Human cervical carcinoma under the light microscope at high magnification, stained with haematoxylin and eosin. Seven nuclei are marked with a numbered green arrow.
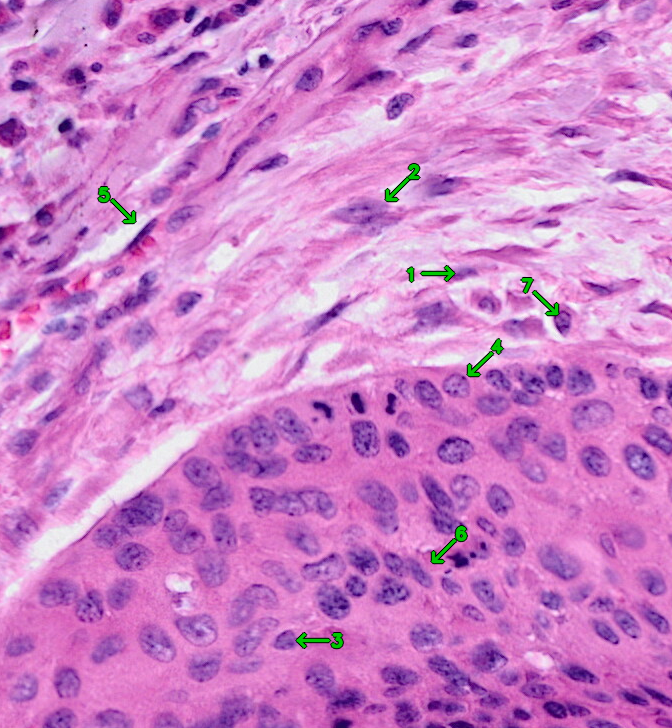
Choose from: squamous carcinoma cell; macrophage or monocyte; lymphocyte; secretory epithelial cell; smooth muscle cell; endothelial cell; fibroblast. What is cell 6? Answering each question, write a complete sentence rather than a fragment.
The marked cell with the number 6 is recognised as a squamous carcinoma cell.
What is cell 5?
Within this field of view, the cell labelled 5 is an endothelial cell.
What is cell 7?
Cell 7 is classified as a macrophage or monocyte.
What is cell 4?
The cell identified by number 4 is a squamous carcinoma cell.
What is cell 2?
The nucleus marked 2 is the nucleus of a fibroblast.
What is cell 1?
The cell that carries the label 1 is a fibroblast.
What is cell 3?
The expected answer is that cell 3 is a squamous carcinoma cell.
